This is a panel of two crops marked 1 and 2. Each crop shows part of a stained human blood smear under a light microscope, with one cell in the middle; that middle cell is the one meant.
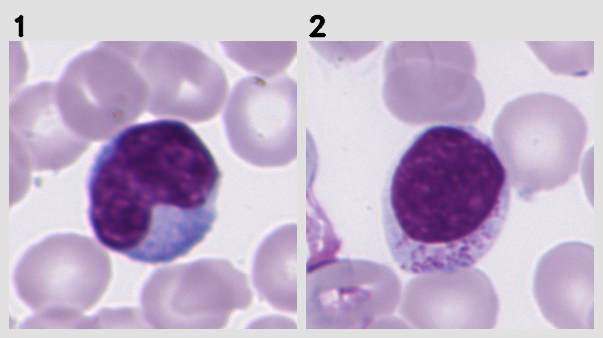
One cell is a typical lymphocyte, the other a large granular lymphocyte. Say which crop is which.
1: typical lymphocyte
2: large granular lymphocyte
